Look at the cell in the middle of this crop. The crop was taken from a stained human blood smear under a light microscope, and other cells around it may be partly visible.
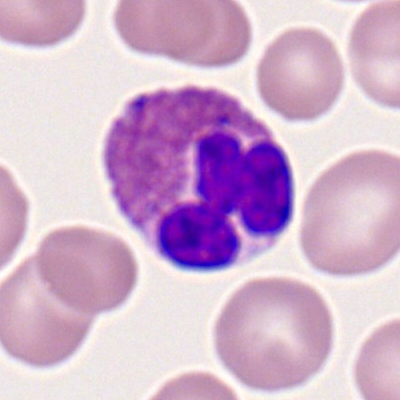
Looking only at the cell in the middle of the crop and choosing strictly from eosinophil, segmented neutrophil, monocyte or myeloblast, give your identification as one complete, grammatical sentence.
Of the cells in this crop, the central one is an eosinophil.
